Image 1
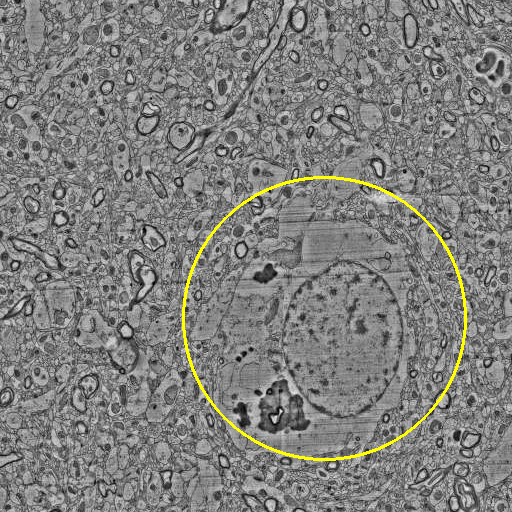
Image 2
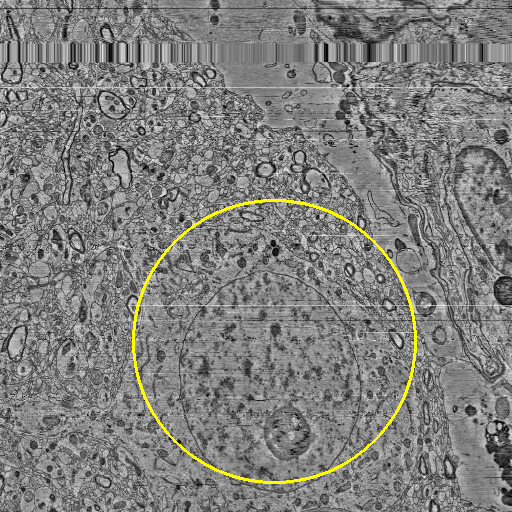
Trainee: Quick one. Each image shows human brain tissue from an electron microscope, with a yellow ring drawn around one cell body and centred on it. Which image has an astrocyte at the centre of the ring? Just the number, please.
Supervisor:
1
